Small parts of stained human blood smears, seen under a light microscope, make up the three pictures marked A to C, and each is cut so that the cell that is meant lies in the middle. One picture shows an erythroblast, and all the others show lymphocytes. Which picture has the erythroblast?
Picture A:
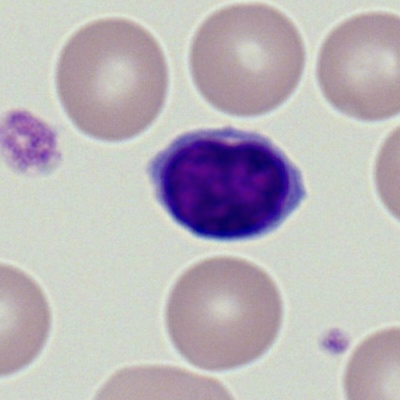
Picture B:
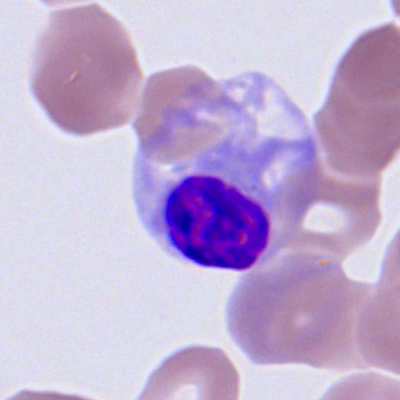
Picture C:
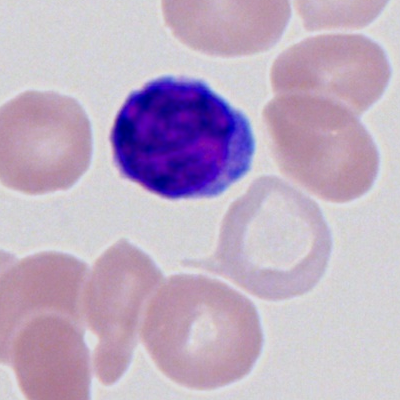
B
